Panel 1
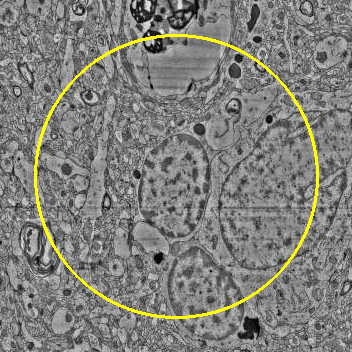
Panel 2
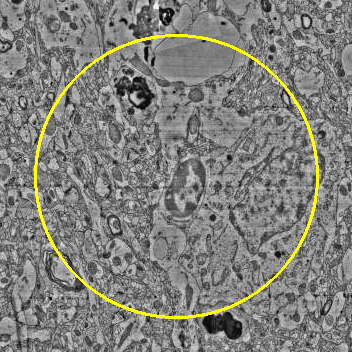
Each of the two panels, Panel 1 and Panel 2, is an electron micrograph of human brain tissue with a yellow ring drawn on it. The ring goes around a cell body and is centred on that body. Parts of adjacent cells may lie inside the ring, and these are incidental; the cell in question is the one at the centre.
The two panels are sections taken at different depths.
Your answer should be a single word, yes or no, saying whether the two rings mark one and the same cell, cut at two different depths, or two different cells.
yes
